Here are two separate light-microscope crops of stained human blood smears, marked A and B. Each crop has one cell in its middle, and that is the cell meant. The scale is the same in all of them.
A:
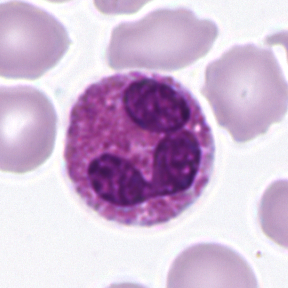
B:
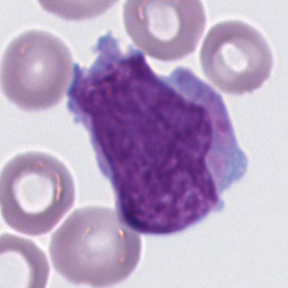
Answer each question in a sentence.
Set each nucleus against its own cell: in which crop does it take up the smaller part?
The nucleus fills less of the cell in picture A than in picture B.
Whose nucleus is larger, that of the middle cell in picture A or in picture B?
It is the nucleus in picture B, about 2 times as large in area as the one in picture A.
